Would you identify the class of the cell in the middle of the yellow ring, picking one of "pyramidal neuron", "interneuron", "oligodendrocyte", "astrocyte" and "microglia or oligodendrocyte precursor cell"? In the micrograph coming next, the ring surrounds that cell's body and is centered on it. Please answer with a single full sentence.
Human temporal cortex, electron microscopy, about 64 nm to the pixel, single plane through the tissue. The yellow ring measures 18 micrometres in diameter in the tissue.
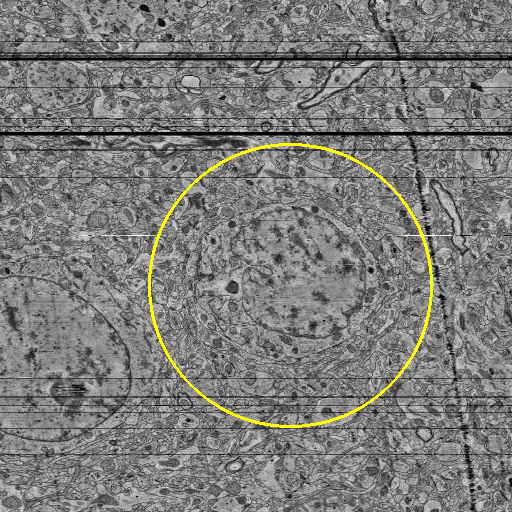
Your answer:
In the micrograph, it is an interneuron whose body lies at the ring's center.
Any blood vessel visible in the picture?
No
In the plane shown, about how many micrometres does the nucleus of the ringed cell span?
The nucleus comes to roughly 9 micrometres across in this plane.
